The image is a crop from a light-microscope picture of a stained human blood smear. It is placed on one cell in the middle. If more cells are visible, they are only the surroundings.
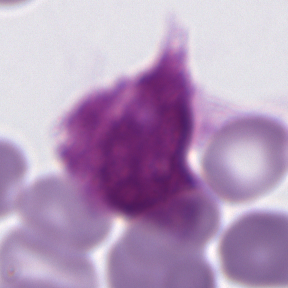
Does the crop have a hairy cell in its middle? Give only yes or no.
no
